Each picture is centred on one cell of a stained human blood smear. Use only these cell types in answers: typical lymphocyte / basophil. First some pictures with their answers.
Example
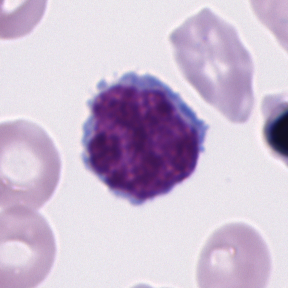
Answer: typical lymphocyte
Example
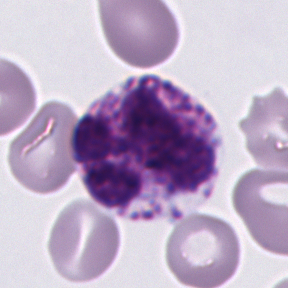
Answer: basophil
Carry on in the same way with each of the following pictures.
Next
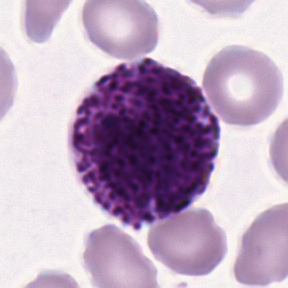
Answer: basophil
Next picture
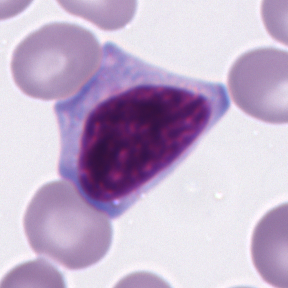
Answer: typical lymphocyte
